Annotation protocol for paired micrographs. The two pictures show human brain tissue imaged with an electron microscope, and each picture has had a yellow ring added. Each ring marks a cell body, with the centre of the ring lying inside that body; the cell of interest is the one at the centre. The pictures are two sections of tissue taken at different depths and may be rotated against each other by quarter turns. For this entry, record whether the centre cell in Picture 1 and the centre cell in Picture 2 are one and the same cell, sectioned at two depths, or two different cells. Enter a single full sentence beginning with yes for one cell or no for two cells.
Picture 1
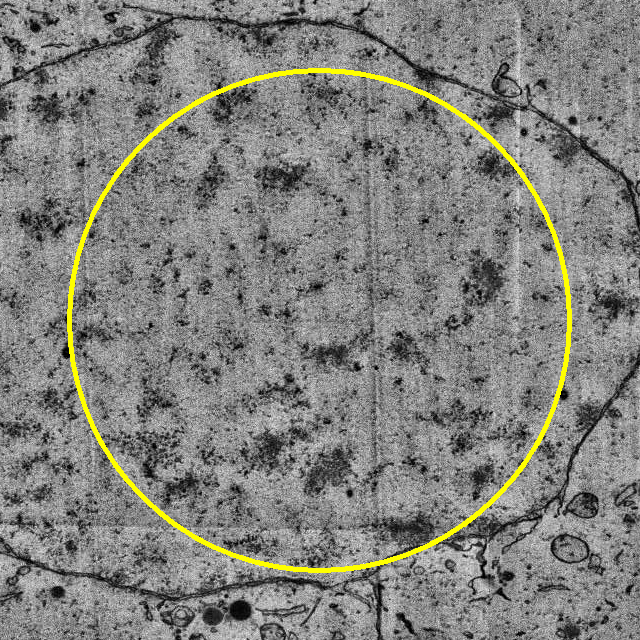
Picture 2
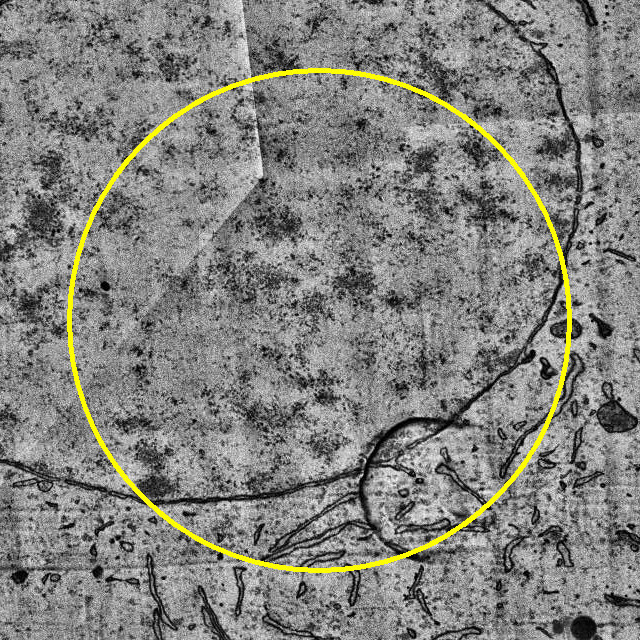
No, the two marked cells are different cells.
